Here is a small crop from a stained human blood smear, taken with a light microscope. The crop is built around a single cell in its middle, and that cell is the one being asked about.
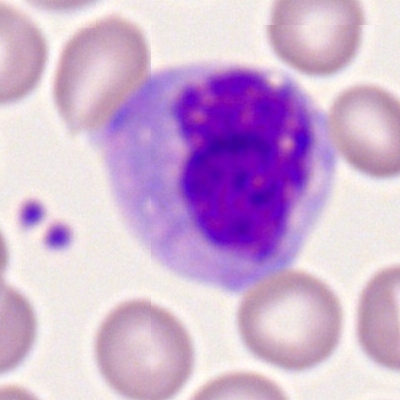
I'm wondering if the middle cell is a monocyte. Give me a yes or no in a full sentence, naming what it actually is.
Yes, the cell positioned at the centre of the crop is a monocyte.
